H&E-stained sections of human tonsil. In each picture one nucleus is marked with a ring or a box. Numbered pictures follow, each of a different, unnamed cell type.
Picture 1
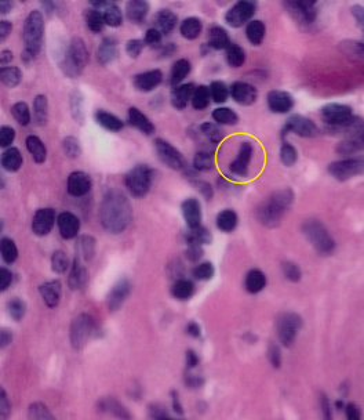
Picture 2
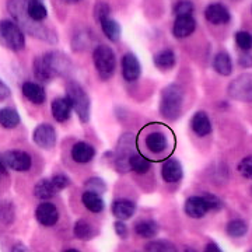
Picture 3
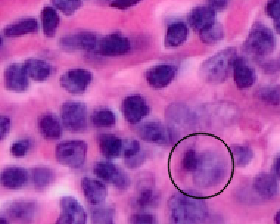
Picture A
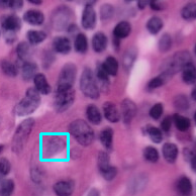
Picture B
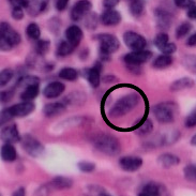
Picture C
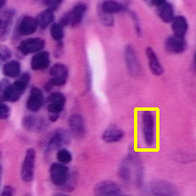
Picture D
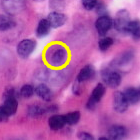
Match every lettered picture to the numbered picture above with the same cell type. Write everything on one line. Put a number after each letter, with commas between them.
A 3, B 3, C 1, D 3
